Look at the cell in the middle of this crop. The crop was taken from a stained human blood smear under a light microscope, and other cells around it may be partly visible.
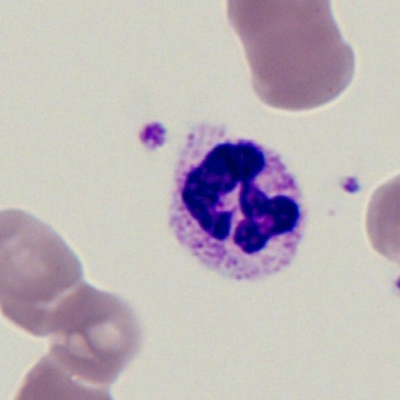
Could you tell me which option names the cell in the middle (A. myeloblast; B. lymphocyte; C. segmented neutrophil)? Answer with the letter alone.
C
